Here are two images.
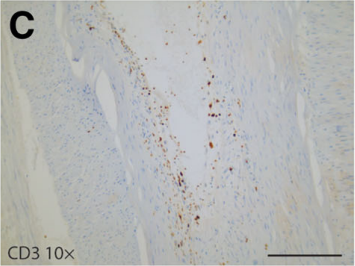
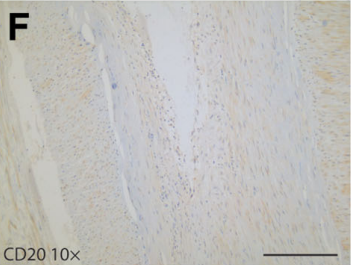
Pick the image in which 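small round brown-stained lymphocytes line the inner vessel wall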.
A: The first image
